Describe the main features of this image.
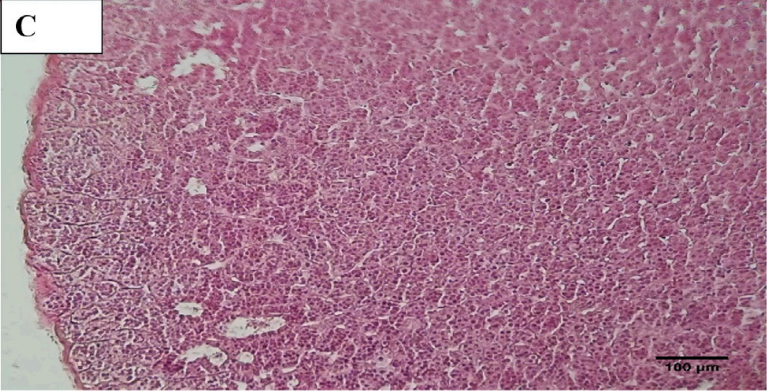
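This is adrenal cortex beneath its capsule, stained pink and purple. A thin pink fibrous capsule runs along the left edge. Just inside it, cells are gathered in small rounded clusters; deeper in, they line up in fairly regular cords running inward, separated by narrow clear channels. The cells are polygonal with pale pink cytoplasm and small dark round nuclei.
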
